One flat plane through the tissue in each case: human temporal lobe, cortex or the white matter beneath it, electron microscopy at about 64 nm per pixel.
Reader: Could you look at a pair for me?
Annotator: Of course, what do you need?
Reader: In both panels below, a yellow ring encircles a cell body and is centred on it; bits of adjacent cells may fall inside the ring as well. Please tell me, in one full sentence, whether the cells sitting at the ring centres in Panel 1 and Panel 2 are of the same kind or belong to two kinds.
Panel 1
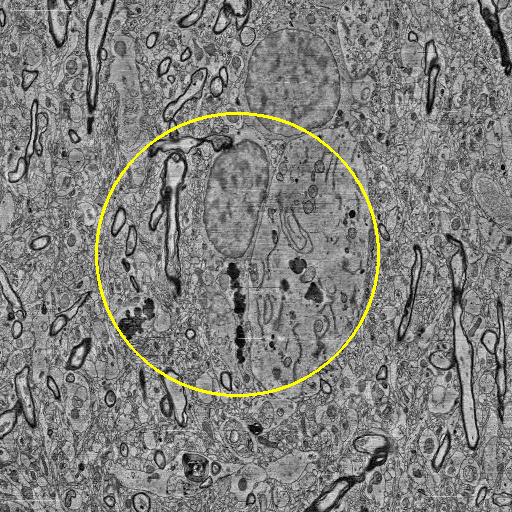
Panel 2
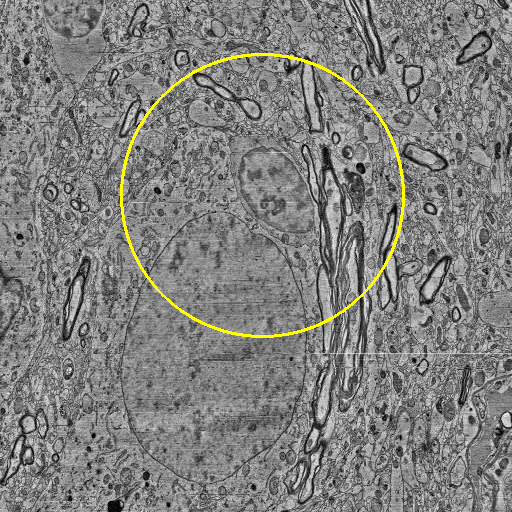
The cell at the ring's centre in Panel 1 and the one in Panel 2 are of the same kind.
